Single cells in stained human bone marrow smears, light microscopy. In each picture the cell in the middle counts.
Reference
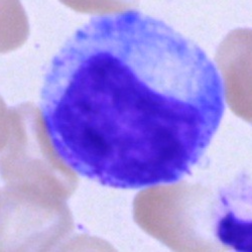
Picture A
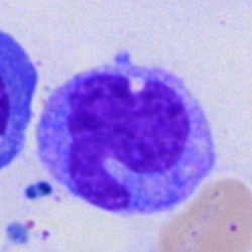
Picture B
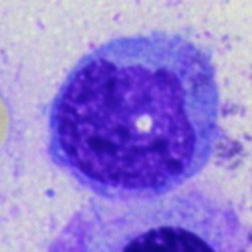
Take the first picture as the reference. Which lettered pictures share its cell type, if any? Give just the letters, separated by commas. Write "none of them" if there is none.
none of them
